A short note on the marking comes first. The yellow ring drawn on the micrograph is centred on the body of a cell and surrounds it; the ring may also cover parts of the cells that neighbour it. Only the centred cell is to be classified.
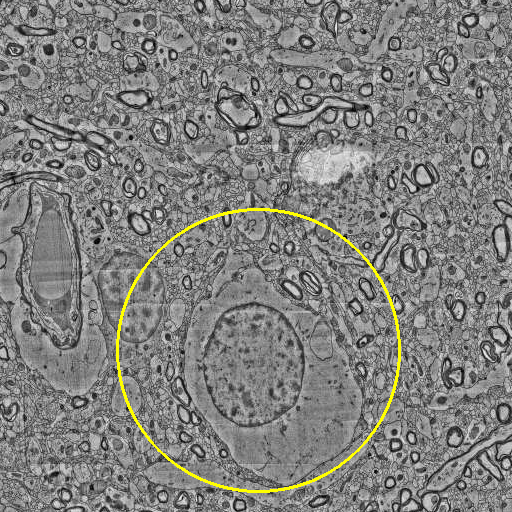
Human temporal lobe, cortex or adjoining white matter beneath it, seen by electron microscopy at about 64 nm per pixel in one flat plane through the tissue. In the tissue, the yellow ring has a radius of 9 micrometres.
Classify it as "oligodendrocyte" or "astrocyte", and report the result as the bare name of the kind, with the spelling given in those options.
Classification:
astrocyte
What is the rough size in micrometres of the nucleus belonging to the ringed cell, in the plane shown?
The ringed cell's nucleus measures approximately 8 by 7 micrometres in this plane.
